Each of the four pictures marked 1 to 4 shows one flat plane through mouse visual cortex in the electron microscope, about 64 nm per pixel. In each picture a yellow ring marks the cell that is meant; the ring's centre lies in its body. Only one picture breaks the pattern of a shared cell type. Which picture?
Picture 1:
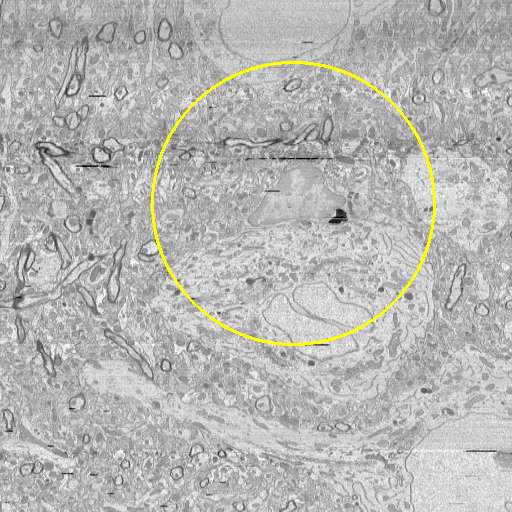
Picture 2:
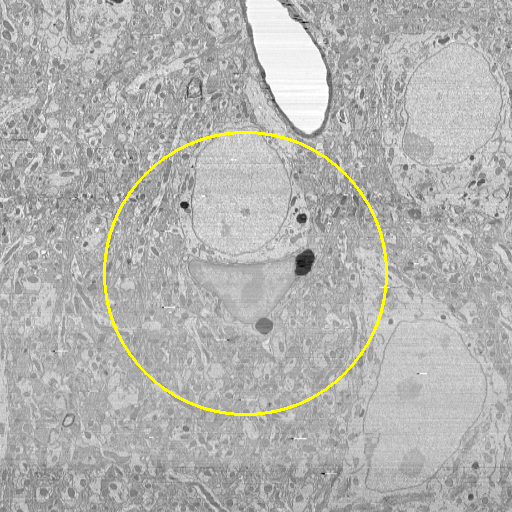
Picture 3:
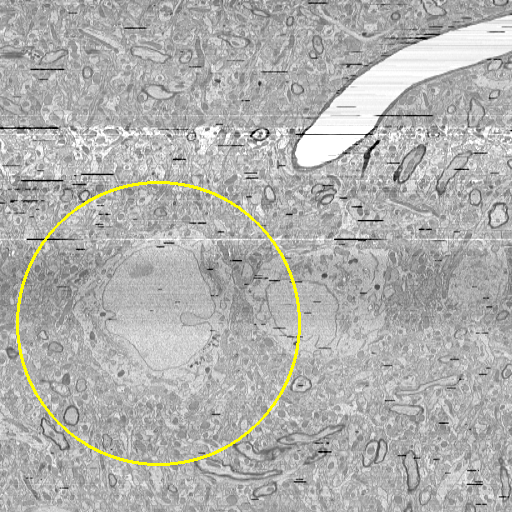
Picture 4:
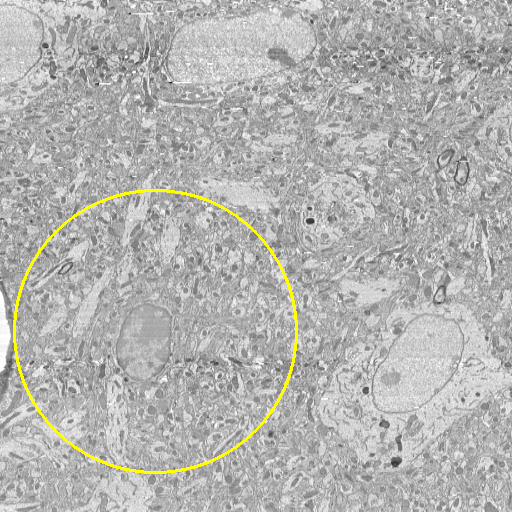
All pictures except 3 show microglial cells; picture 3 shows an excitatory neuron.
